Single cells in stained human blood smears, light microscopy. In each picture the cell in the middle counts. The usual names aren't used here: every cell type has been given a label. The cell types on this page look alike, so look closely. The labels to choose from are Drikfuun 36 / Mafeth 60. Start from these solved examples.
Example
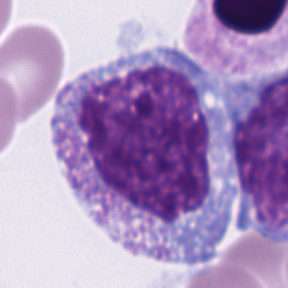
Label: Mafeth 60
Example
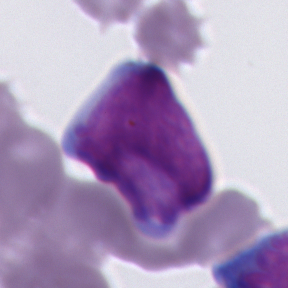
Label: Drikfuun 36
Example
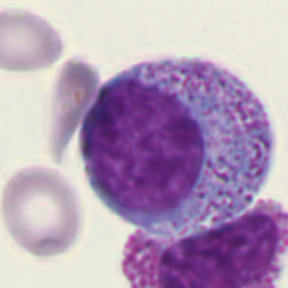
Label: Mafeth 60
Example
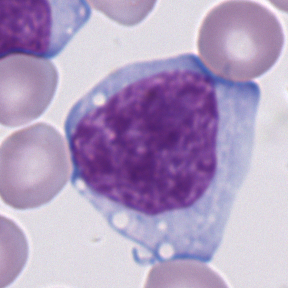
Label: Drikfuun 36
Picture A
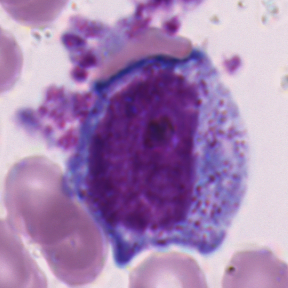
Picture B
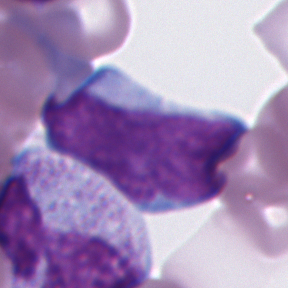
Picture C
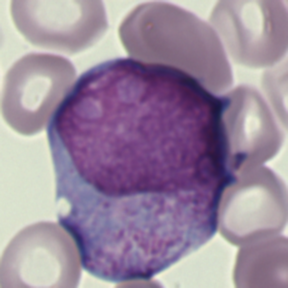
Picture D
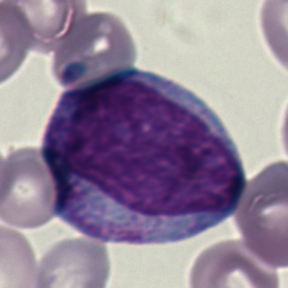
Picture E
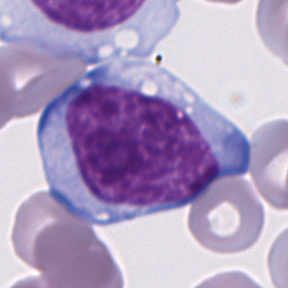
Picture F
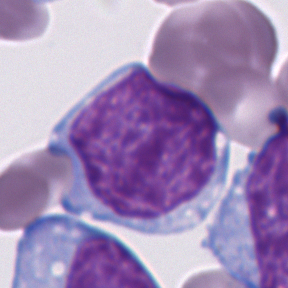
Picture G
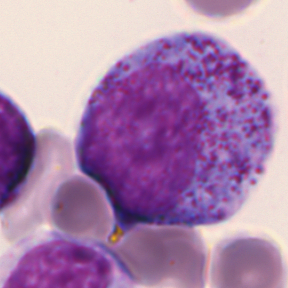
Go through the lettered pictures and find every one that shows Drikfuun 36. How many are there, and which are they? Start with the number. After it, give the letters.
Count: 3 (B, E, F)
